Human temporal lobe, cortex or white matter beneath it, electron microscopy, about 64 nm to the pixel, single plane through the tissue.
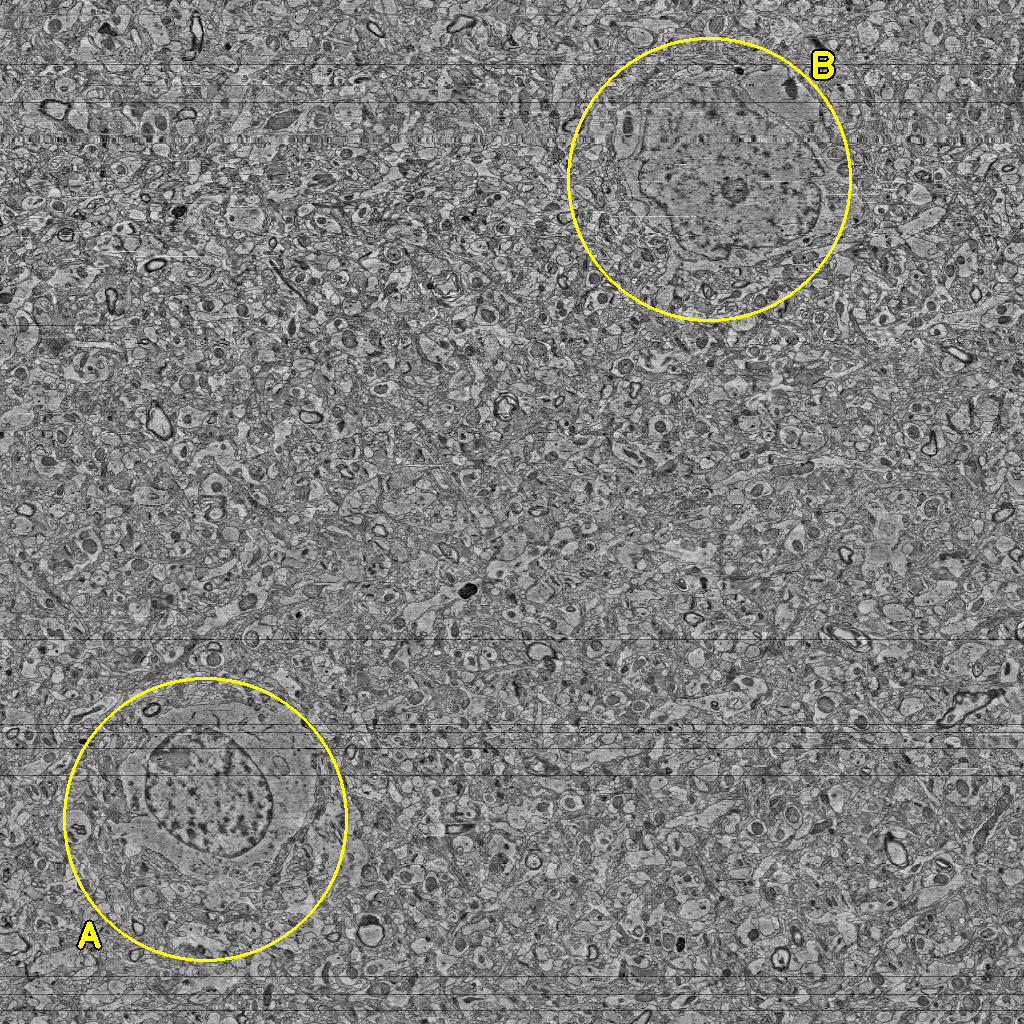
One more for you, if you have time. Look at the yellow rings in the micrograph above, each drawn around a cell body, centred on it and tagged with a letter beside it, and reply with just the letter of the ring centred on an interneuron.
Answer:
B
